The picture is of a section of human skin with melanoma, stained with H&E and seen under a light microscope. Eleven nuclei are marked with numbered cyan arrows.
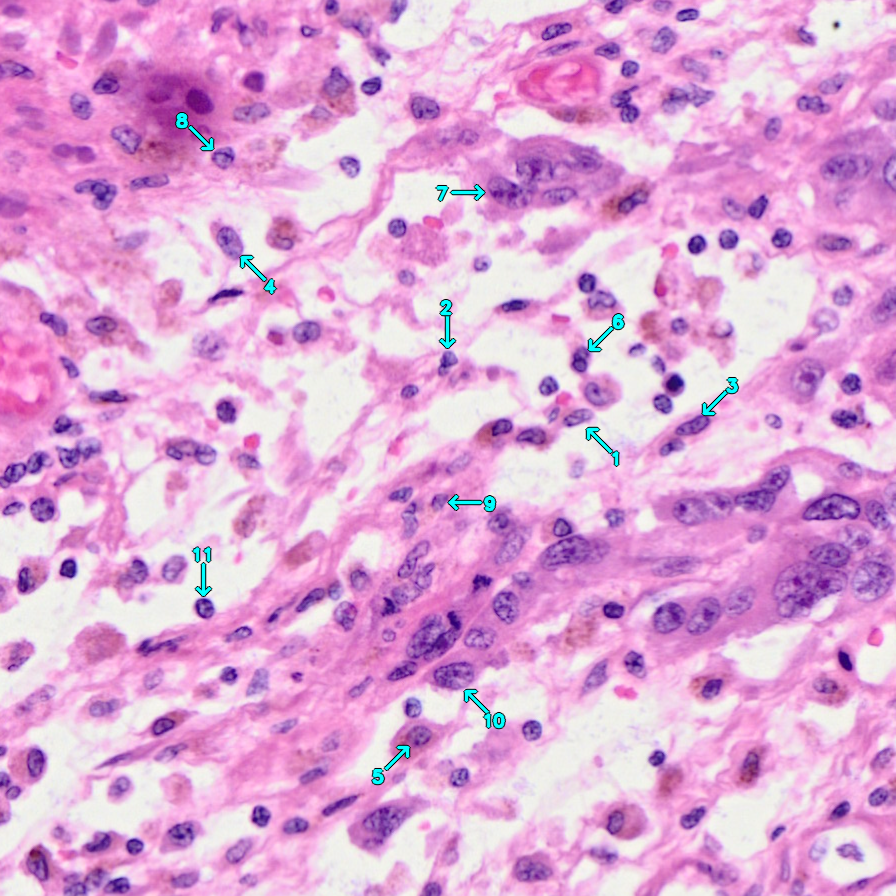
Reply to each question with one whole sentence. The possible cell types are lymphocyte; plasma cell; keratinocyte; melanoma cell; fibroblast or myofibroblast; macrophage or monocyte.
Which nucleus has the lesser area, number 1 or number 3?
It is nucleus 1; nucleus 3 has about 1.5 times its area.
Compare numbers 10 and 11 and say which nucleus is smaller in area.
Nucleus 11 is the smaller one; nucleus 10 covers about 2 times its area.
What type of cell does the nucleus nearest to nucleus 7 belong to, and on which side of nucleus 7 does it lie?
It is a melanoma cell, whose nucleus lies above and to the right of nucleus 7.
